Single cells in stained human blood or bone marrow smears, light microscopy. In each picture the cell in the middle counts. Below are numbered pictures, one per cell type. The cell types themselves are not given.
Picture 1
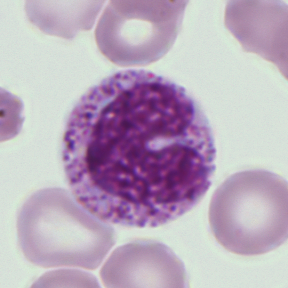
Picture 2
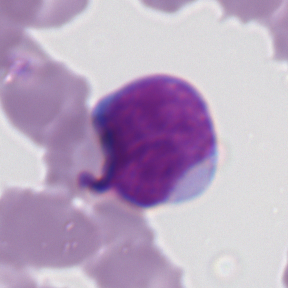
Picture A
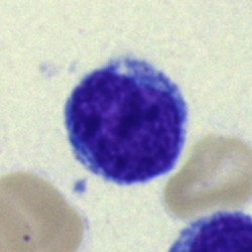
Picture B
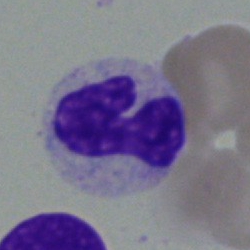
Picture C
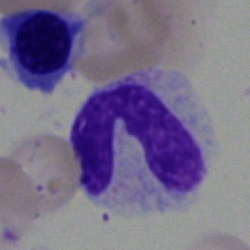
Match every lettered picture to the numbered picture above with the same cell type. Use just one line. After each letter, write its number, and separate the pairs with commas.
A 2, B 1, C 1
